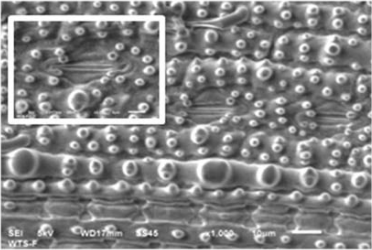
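This is the surface of a leaf epidermis seen by scanning electron microscopy, and the white box frames a stoma. Two long, narrow guard cells lie side by side like a pair of lips around a slender central slit, the stomatal aperture, which here appears as a thin line rather than a wide opening. Around the stoma the epidermal surface is covered with many small rounded bumps, the papillae, arranged in parallel rows that run along the length of the leaf. Some larger rounded swellings stand among them. The rows of cells and stomata follow the long axis of the organ.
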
